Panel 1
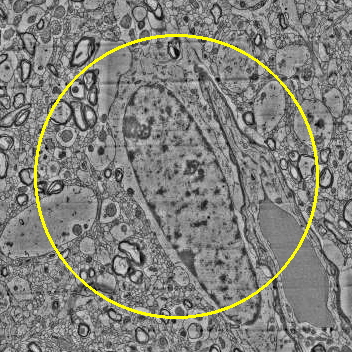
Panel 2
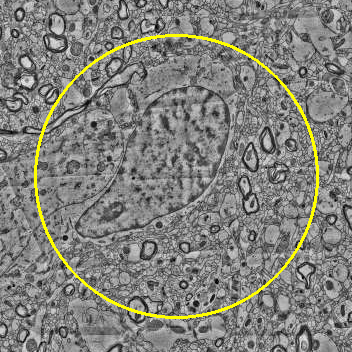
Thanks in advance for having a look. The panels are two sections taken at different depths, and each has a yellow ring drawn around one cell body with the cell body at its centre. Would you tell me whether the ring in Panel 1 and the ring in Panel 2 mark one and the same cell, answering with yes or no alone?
no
